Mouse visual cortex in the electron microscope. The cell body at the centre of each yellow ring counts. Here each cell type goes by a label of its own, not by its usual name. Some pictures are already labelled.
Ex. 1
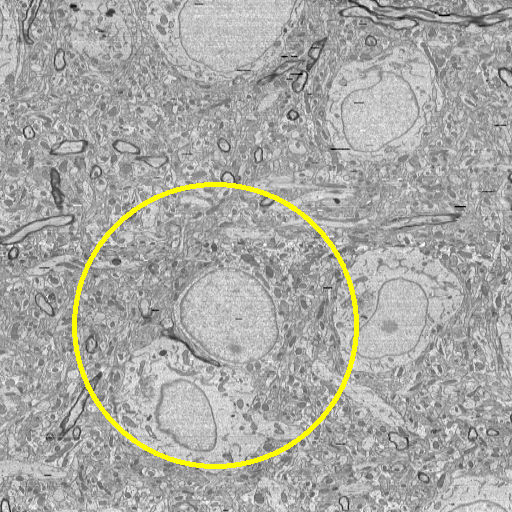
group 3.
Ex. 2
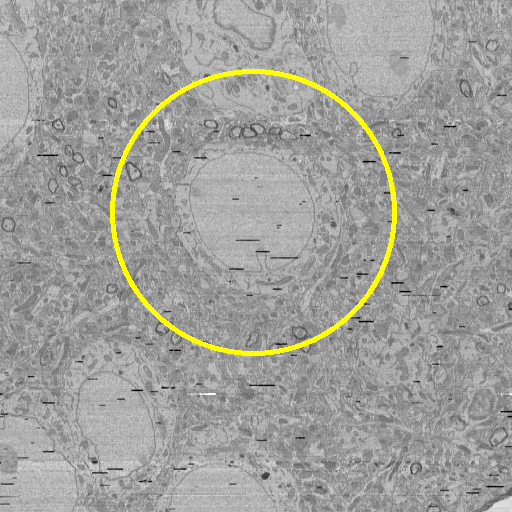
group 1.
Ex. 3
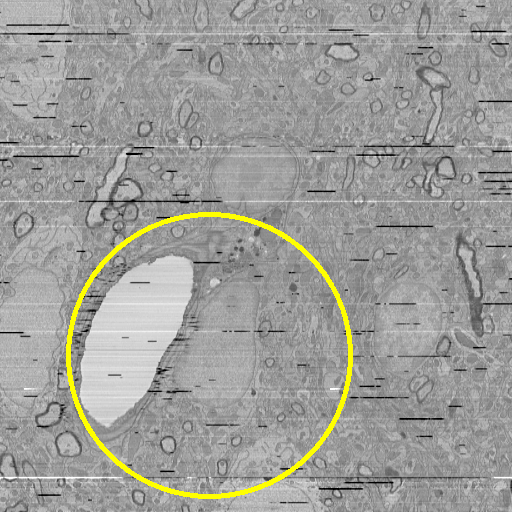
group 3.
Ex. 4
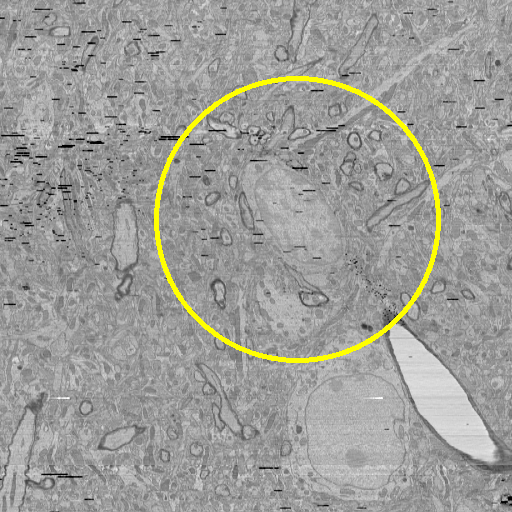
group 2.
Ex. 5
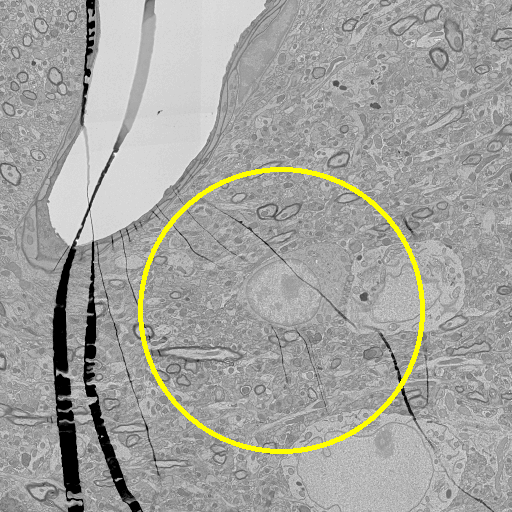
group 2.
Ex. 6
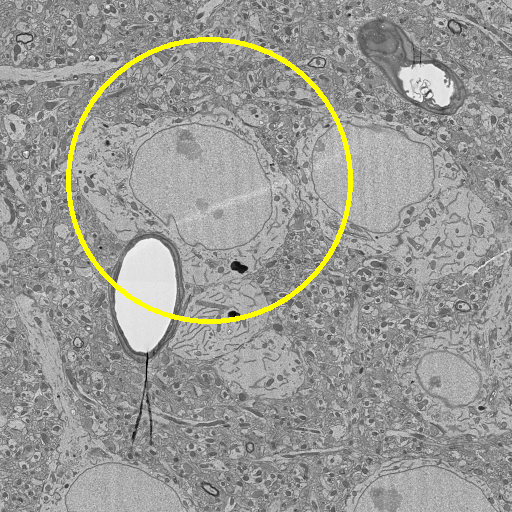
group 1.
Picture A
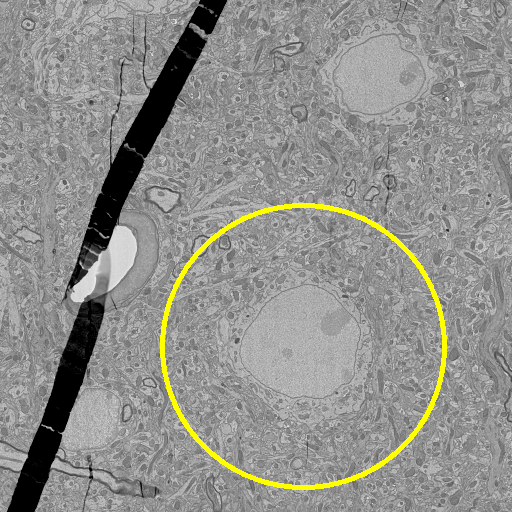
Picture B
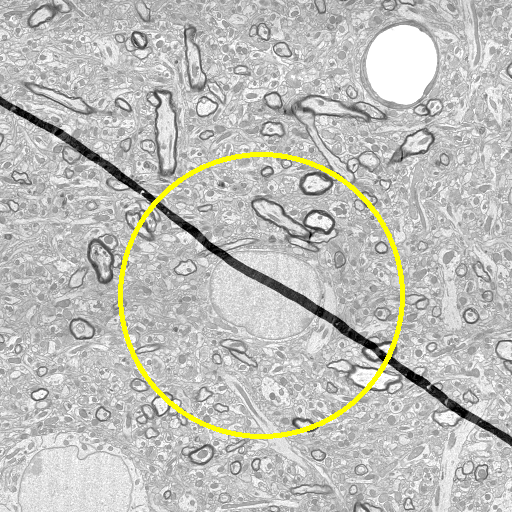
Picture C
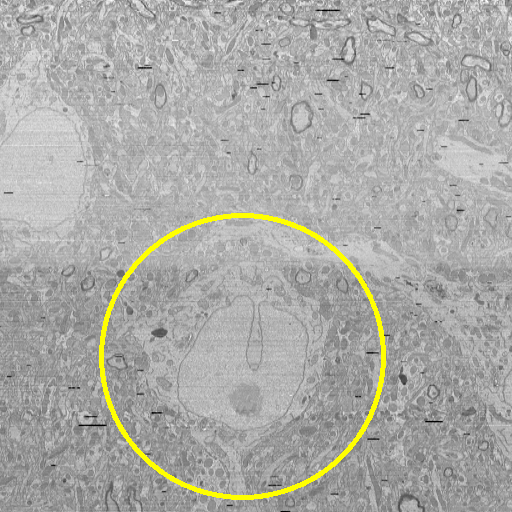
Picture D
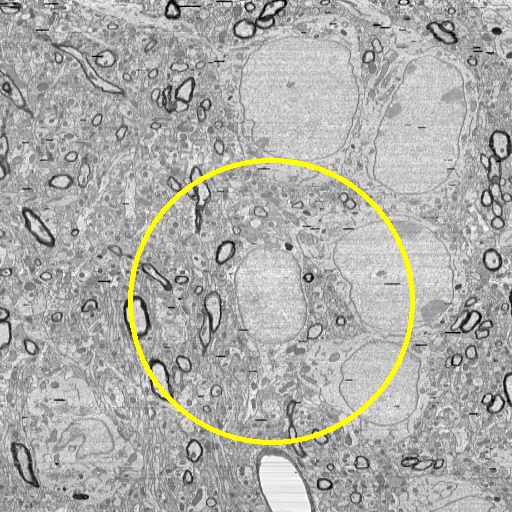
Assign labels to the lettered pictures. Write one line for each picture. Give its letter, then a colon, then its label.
A: group 1.
B: group 3.
C: group 1.
D: group 3.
